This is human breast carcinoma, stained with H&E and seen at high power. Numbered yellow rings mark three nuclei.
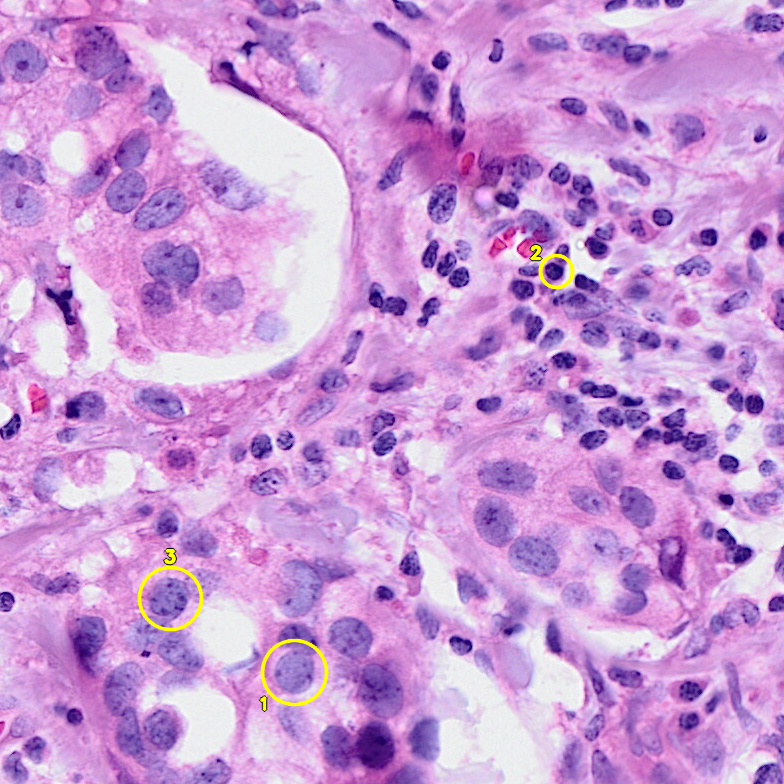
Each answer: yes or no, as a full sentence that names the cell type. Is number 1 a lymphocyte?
No, the cell marked 1 is a carcinoma cell rather than a lymphocyte.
